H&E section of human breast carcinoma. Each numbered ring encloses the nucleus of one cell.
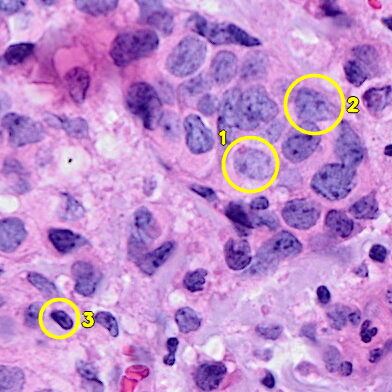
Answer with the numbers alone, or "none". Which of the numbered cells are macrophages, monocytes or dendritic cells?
none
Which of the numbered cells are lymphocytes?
3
